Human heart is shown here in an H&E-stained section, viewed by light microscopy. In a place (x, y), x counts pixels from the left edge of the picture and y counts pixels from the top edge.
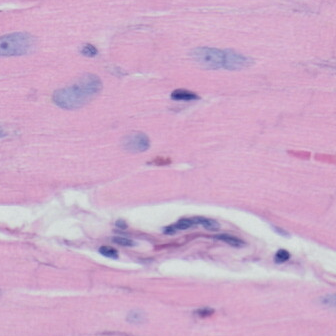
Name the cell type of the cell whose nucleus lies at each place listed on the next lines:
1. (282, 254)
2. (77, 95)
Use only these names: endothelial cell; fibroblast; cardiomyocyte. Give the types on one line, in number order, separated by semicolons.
fibroblast; cardiomyocyte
